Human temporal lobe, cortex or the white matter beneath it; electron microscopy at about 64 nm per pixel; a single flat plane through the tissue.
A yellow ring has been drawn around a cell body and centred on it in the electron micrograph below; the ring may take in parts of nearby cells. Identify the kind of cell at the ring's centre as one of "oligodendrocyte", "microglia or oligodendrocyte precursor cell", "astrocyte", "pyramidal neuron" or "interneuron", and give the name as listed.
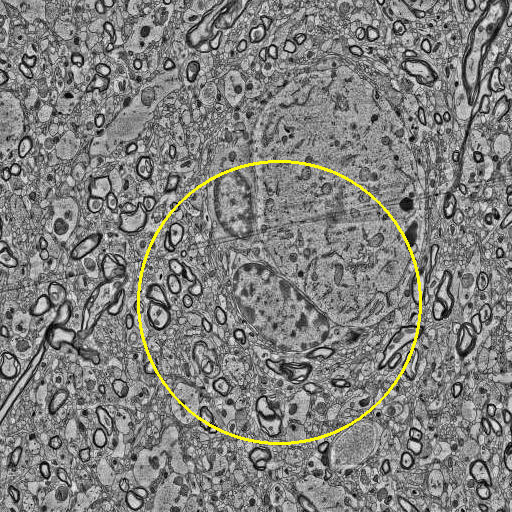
microglia or oligodendrocyte precursor cell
